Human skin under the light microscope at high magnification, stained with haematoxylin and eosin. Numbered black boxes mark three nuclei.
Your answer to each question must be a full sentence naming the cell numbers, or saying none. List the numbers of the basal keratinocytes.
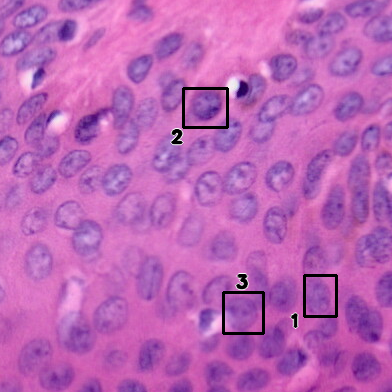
With the exception of cell 2, no marked cell is a basal keratinocyte.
